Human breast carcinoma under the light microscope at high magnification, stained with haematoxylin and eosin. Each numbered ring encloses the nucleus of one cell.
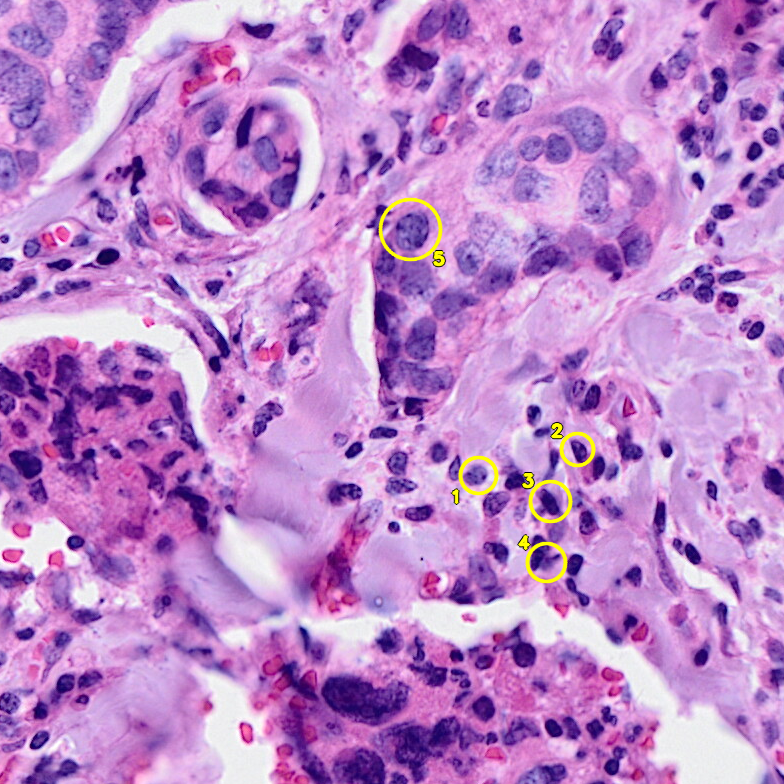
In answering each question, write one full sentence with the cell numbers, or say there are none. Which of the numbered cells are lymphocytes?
Cells 2, 3 and 4 are classified as lymphocytes.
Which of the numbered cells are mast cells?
Of the cells marked with numbers, cell 1 is the only one that is a mast cell.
